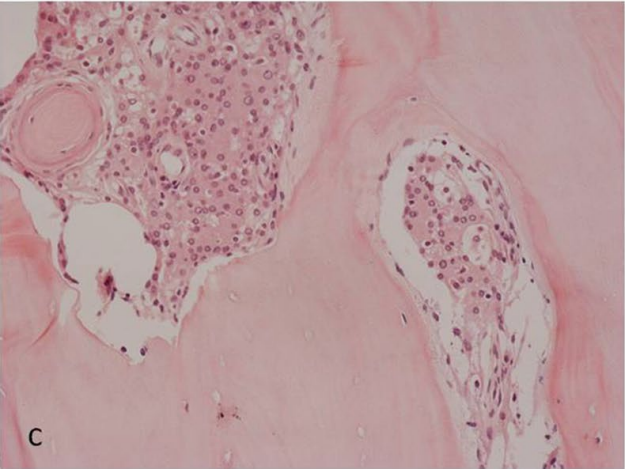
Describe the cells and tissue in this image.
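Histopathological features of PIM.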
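Nests of meningothelial-looking cells fill spaces within dense, pale pink bone. At the upper left, a cellular nest holds many cells with round to oval, evenly spaced purple nuclei and pale pink cytoplasm with indistinct borders. Within it lies a round whorled structure of concentric pink layers. A second, narrower space on the right contains similar cells with round nuclei, lined along its edge by flatter cells. The surrounding bone is homogeneous and pink with scattered small lacunae. A clear space sits below the left nest.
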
